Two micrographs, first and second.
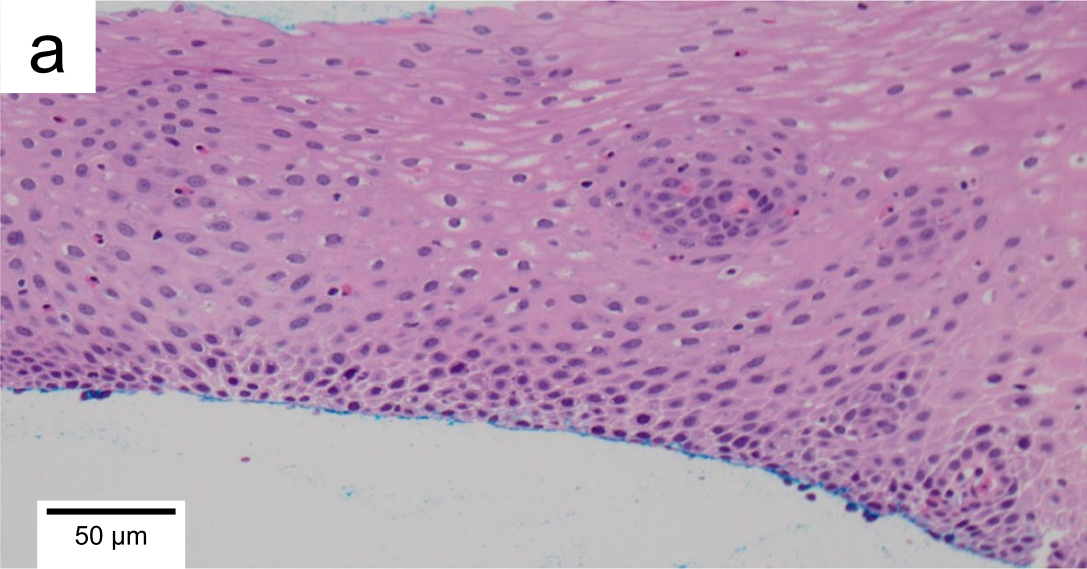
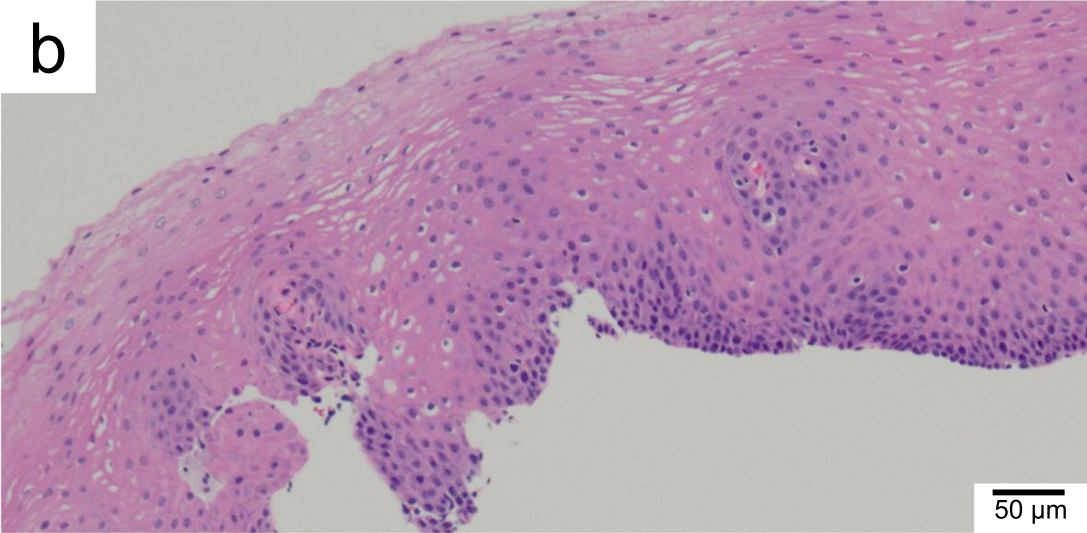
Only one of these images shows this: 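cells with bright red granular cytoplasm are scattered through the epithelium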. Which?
The first image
